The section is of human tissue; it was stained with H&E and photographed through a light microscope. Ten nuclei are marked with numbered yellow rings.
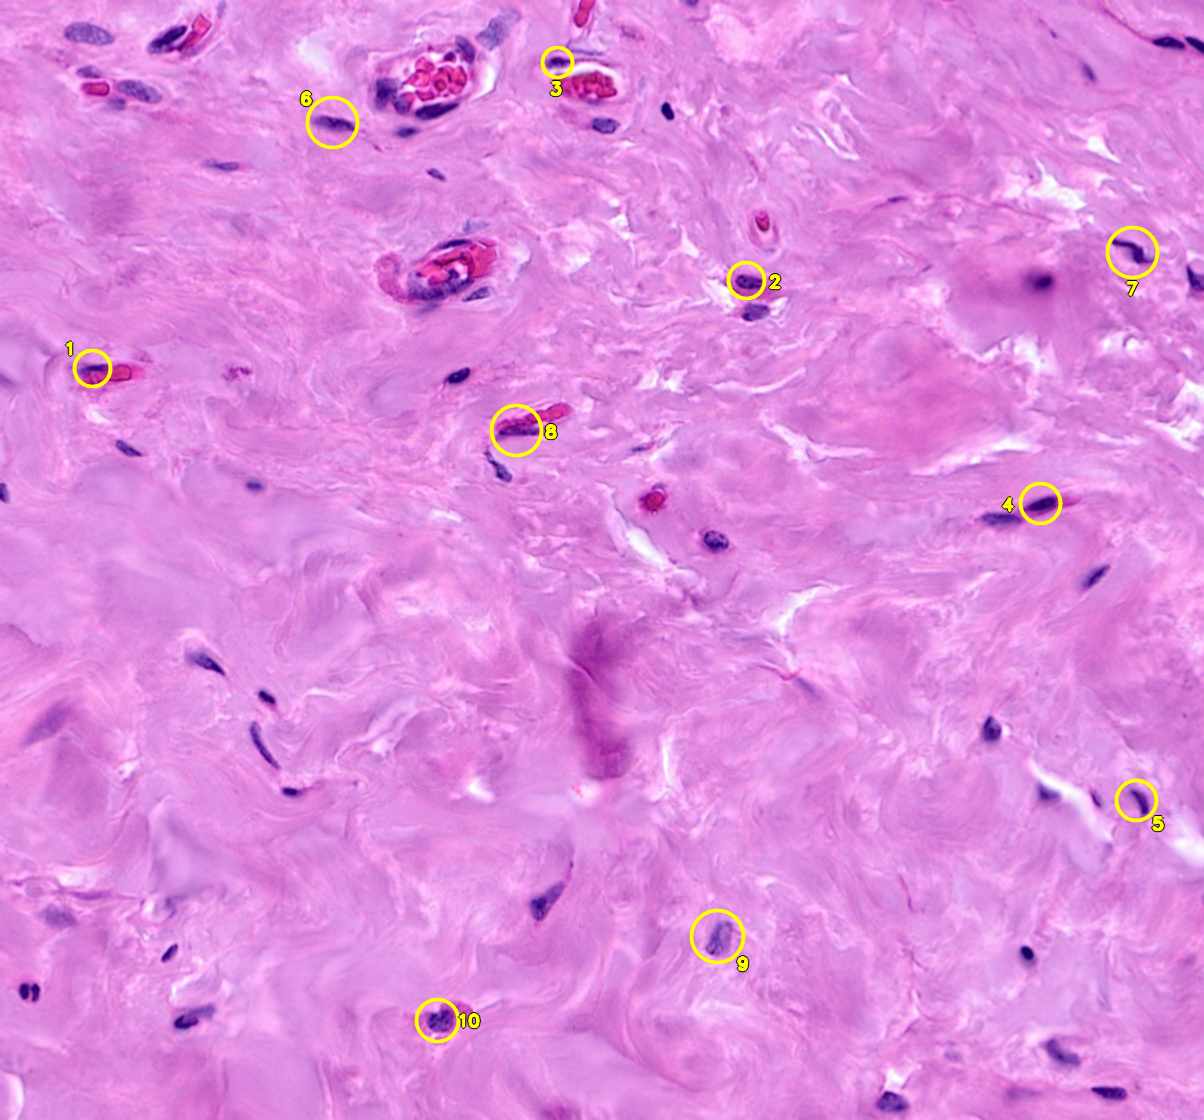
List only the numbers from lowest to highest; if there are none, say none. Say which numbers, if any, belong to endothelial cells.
1, 3, 8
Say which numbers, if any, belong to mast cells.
2, 4, 10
